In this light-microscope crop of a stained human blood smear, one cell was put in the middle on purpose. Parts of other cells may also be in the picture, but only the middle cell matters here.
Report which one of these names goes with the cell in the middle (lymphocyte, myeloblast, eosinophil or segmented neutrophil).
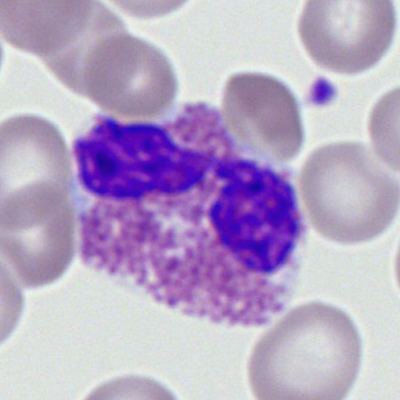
eosinophil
